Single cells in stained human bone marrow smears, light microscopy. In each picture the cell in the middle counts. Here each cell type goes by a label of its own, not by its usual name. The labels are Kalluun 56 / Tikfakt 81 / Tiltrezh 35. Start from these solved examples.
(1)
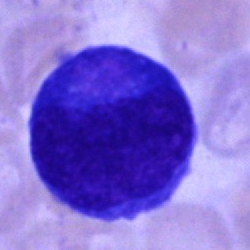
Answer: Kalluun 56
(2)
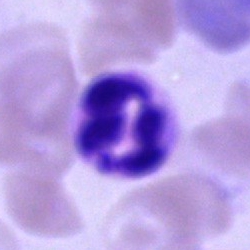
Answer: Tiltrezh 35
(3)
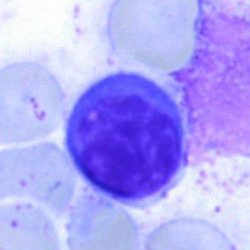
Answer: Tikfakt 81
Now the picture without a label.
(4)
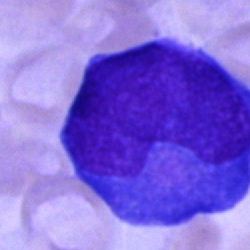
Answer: Kalluun 56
